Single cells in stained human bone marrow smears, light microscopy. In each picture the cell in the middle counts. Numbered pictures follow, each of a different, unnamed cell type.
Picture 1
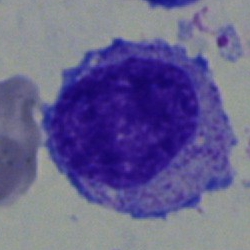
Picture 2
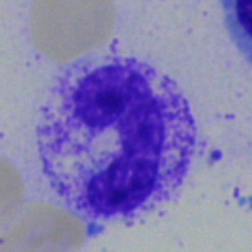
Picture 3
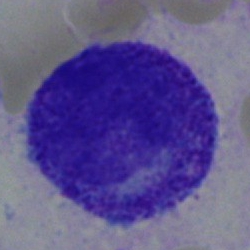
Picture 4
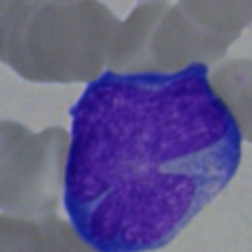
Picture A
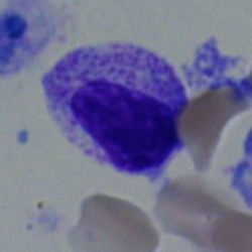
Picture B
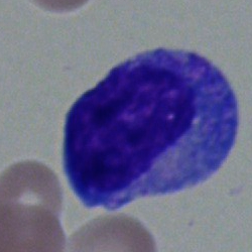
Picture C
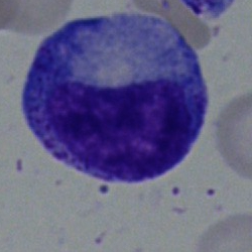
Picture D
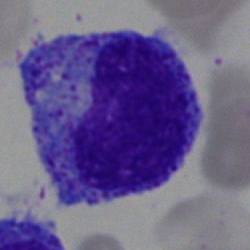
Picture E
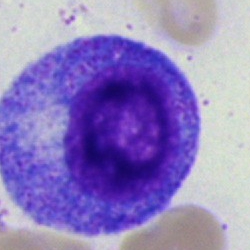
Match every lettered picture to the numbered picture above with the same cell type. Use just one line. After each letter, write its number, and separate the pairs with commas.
A 1, B 1, C 3, D 3, E 3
